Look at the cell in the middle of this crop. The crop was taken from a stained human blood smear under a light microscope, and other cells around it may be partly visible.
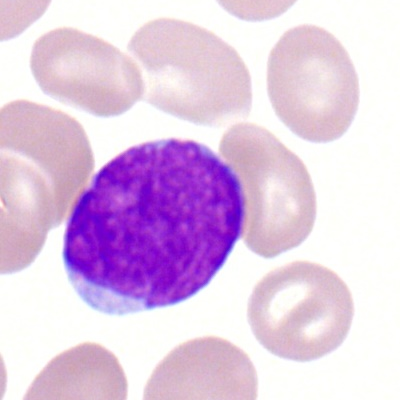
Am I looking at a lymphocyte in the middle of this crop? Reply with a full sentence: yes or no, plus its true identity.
No, it is a myeloblast that sits in the middle, not a lymphocyte.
